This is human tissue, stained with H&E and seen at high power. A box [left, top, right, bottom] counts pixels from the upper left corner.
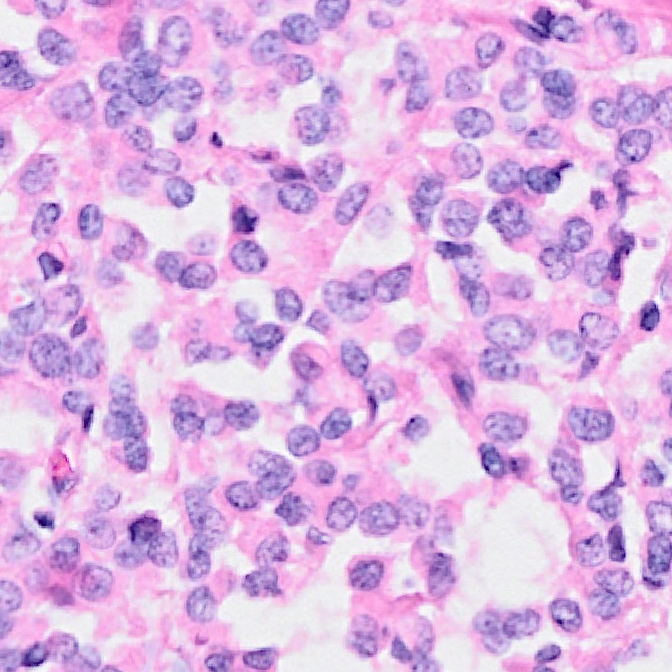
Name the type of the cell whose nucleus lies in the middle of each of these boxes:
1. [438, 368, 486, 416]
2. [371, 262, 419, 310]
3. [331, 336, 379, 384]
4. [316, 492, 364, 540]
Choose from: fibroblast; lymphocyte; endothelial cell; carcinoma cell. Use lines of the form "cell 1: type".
cell 1: endothelial cell
cell 2: carcinoma cell
cell 3: carcinoma cell
cell 4: carcinoma cell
